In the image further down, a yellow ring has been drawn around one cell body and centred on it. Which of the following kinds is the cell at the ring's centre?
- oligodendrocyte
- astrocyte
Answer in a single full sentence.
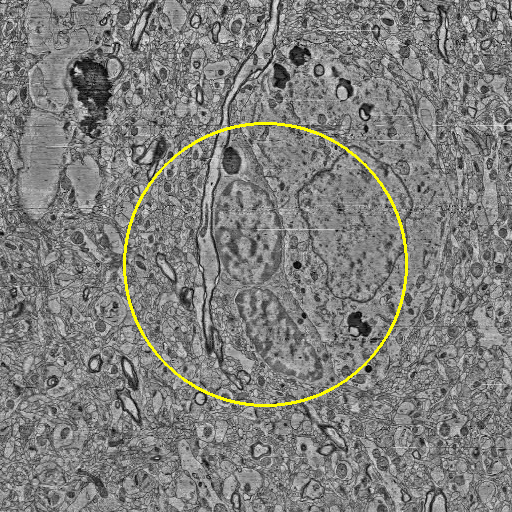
In the picture, the cell sitting at the centre of the yellow ring is an oligodendrocyte.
